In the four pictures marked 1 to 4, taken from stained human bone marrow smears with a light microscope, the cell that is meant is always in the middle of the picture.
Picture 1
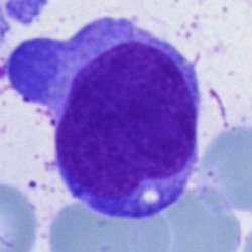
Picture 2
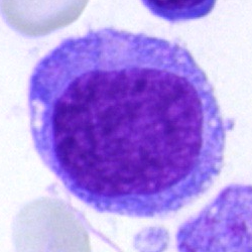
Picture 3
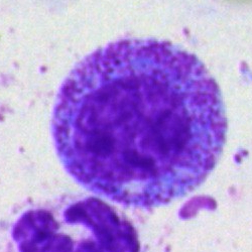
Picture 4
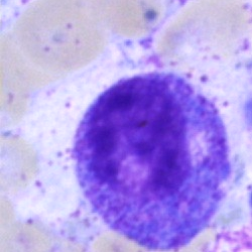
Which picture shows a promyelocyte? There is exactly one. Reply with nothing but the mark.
4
